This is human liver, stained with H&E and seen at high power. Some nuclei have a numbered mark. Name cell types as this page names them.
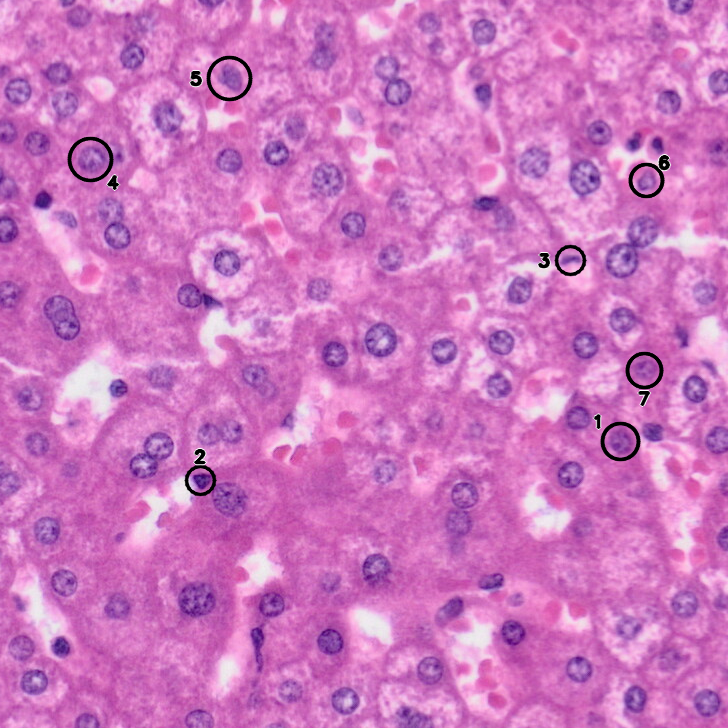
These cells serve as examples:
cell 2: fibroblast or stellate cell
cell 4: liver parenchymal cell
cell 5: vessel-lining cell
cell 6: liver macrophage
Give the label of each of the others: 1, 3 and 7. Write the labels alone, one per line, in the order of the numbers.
liver parenchymal cell
vessel-lining cell
liver parenchymal cell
